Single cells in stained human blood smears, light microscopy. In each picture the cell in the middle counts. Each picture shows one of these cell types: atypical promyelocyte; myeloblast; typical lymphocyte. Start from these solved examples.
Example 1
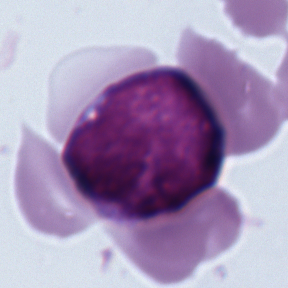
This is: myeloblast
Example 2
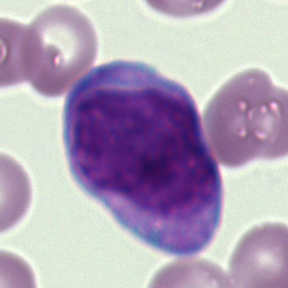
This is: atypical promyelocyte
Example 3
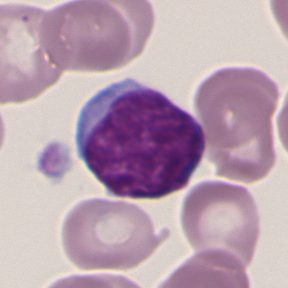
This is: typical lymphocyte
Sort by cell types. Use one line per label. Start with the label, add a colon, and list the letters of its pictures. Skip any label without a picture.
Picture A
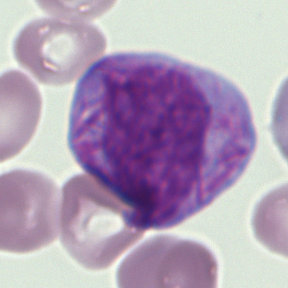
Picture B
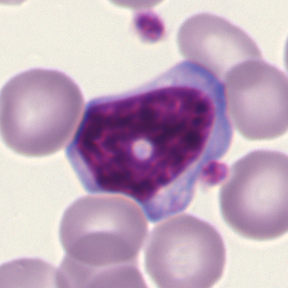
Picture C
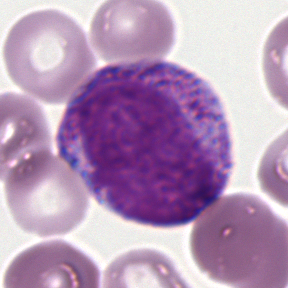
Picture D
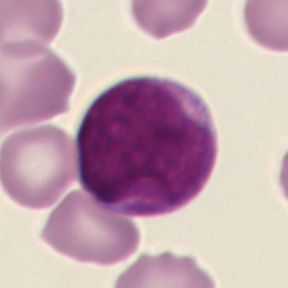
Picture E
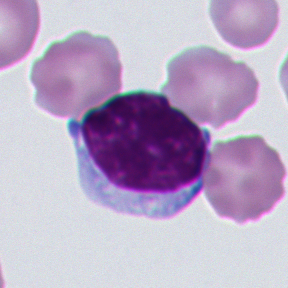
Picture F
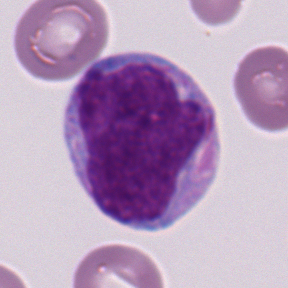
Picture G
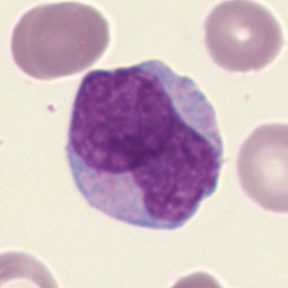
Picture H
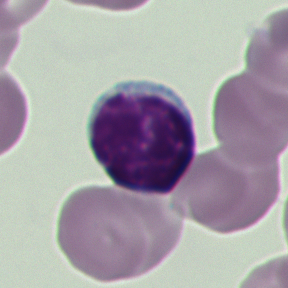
atypical promyelocyte: A, C, F, G
myeloblast: D
typical lymphocyte: B, E, H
